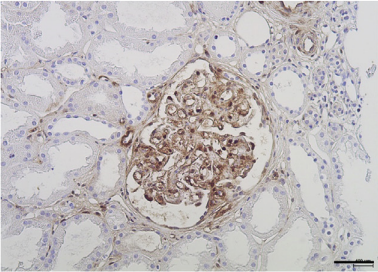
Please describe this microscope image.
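This is renal tissue centred on a glomerulus, with tubules and interstitium around it. The glomerular tuft is stained a strong brown throughout its lobules, with blue nuclei scattered among the brown, and it nearly fills the space within its capsule. The surrounding tubules are mostly pale with blue nuclei, while the interstitium between them and the region around the capsule take up some brown stain.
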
